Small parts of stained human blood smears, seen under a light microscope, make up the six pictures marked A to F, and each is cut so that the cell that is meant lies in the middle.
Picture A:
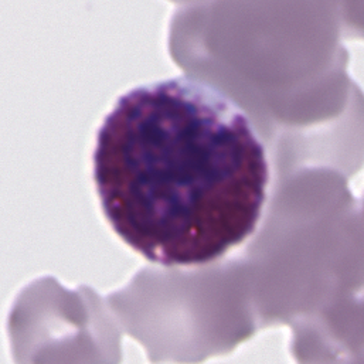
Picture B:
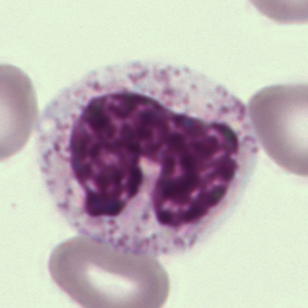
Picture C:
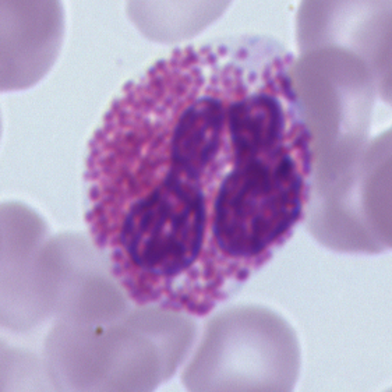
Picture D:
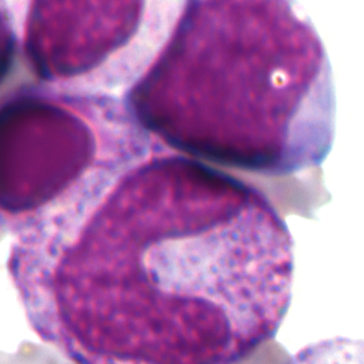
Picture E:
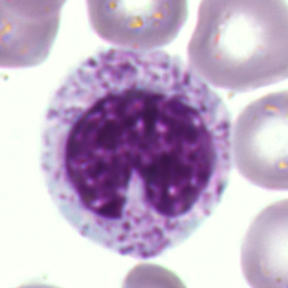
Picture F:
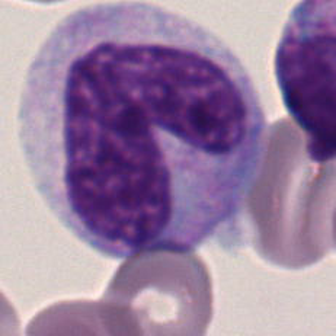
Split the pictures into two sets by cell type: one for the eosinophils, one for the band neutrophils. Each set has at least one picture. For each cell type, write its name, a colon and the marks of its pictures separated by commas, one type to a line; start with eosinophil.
eosinophil: A, C
band neutrophil: B, D, E, F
